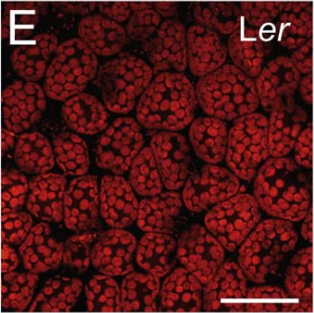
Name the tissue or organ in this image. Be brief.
palisade mesophyll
